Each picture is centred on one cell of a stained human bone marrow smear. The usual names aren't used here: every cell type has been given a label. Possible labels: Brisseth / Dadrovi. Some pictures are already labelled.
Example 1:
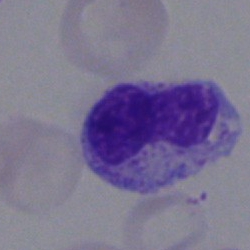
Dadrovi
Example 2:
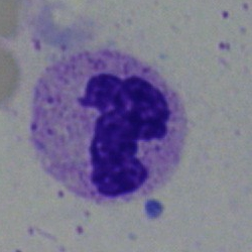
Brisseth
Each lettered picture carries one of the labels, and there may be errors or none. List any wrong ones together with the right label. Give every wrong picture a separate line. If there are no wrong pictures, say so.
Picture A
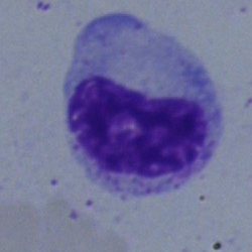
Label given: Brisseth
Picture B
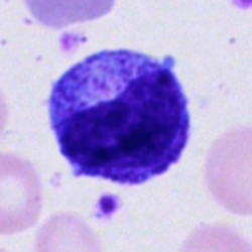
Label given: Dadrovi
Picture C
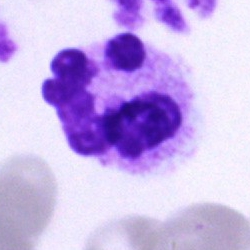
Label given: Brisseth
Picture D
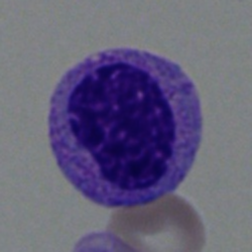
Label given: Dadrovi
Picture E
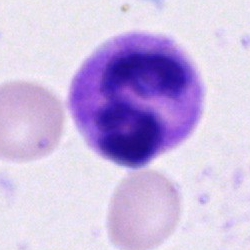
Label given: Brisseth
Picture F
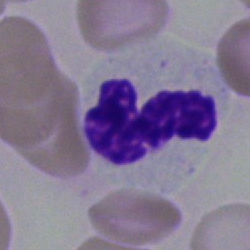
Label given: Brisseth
A: change Brisseth to Dadrovi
